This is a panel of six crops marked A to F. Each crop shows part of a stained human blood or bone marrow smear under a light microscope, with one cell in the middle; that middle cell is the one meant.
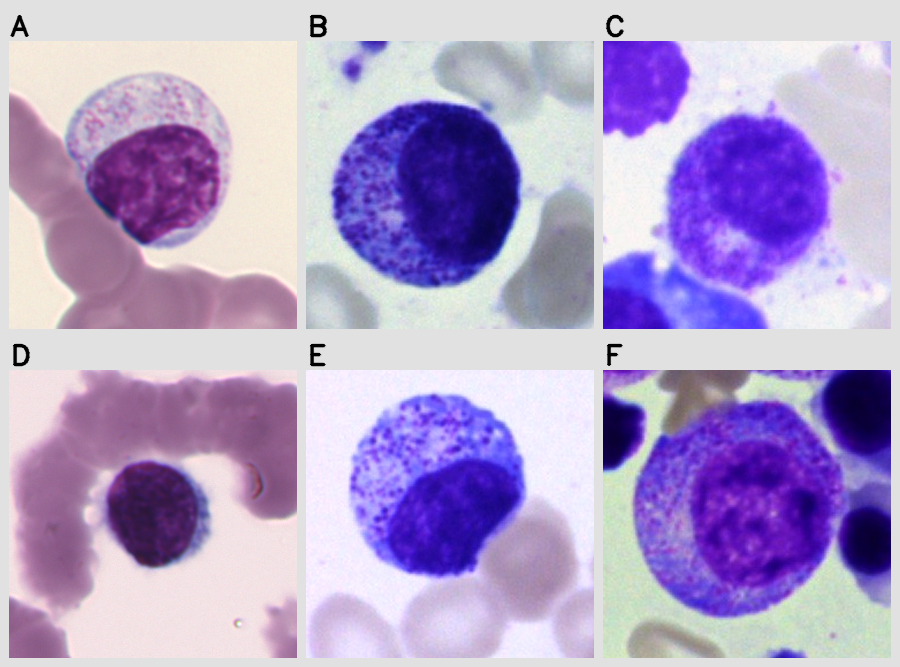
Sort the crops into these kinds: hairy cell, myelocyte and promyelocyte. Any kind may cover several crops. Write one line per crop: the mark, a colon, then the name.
A: myelocyte
B: myelocyte
C: myelocyte
D: hairy cell
E: myelocyte
F: promyelocyte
